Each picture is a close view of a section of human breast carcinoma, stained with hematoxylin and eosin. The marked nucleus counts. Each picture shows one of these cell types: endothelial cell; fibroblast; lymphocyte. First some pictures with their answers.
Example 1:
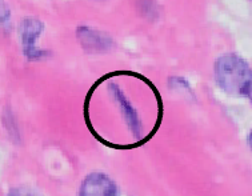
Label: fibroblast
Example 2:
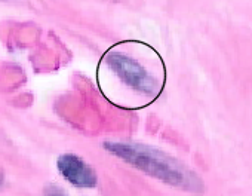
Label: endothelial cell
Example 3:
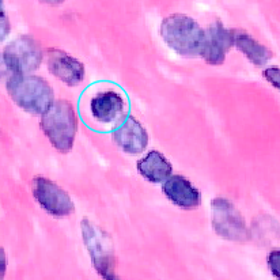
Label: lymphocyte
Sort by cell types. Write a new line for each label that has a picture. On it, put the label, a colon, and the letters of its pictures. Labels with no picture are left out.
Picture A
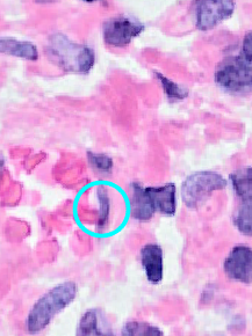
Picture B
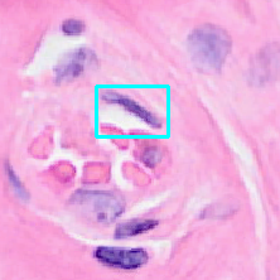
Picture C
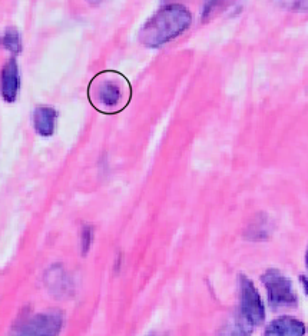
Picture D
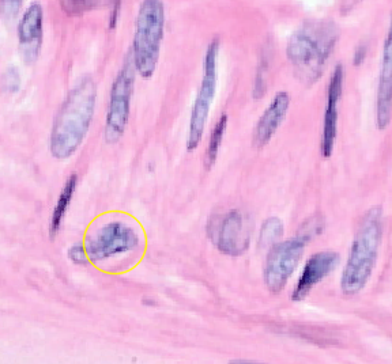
endothelial cell: A, B, D
lymphocyte: C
